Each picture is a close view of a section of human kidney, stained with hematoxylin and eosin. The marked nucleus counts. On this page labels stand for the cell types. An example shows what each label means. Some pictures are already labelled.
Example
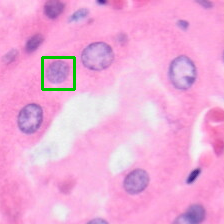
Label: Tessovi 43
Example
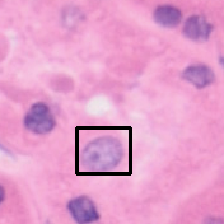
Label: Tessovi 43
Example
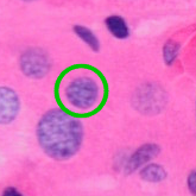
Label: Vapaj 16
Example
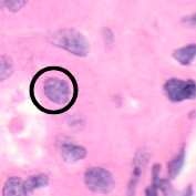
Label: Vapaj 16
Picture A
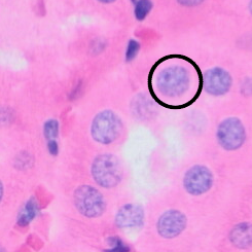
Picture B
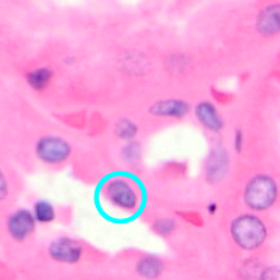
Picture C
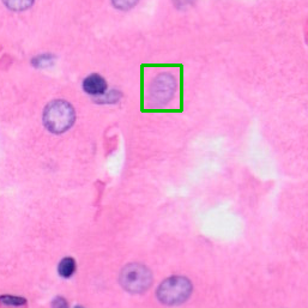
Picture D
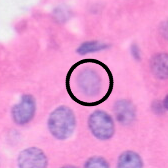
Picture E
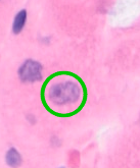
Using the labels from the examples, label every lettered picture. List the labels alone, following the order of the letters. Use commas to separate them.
Vapaj 16, Vapaj 16, Tessovi 43, Vapaj 16, Tessovi 43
